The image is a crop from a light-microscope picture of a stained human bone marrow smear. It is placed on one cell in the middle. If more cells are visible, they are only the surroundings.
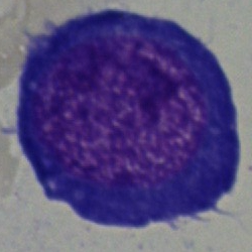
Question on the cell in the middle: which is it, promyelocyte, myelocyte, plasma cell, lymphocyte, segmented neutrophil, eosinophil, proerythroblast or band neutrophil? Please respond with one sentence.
The cell around which this crop is centred is a proerythroblast.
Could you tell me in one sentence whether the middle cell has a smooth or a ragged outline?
Because its outline is ragged or drawn out into projections, the cell lacks a smooth border.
